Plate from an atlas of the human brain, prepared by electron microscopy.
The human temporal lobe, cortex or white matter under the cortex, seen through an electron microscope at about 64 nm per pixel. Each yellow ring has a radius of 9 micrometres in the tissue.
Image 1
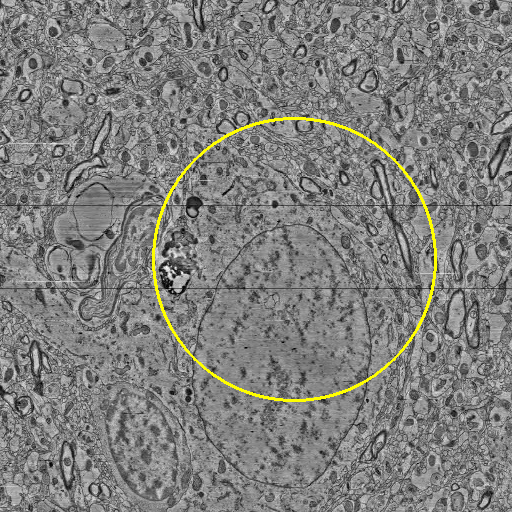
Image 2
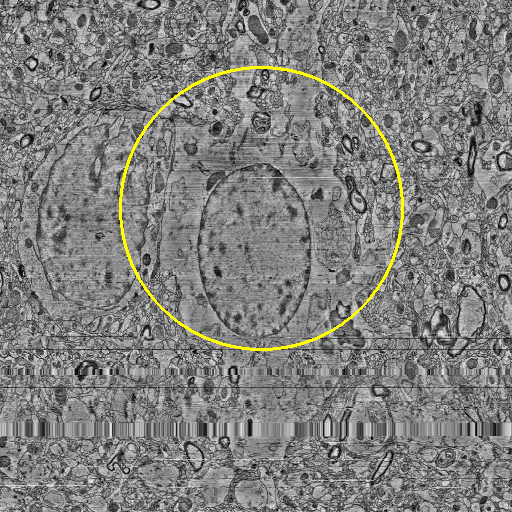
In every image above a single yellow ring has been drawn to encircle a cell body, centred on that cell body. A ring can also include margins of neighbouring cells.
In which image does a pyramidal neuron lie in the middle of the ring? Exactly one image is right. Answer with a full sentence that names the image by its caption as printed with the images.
Image 1 holds the requested cell at the very centre of its ring.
